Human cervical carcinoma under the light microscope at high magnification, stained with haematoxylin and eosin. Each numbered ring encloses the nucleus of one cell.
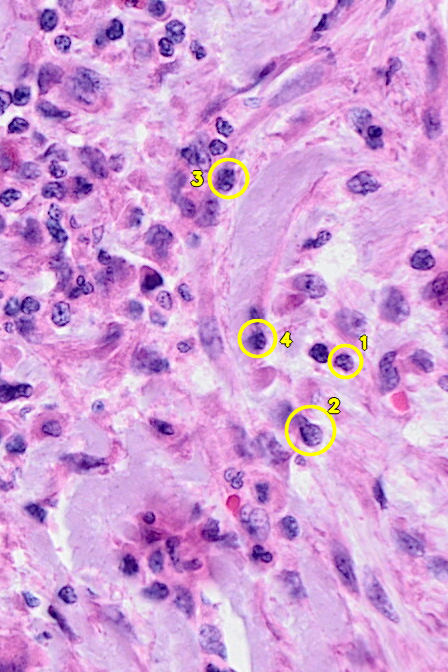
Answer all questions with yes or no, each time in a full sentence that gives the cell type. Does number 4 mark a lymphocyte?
Yes, the numbered cell 4 is identified as a lymphocyte.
